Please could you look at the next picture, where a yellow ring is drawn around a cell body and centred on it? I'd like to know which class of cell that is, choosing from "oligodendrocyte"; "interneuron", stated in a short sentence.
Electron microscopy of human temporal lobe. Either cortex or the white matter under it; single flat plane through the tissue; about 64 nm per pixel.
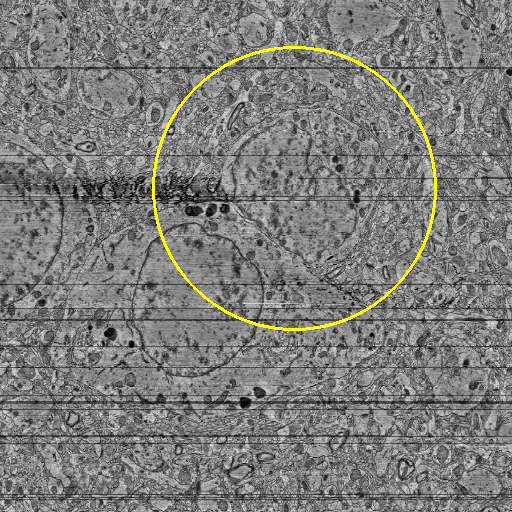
The ring's centre lies on an interneuron.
